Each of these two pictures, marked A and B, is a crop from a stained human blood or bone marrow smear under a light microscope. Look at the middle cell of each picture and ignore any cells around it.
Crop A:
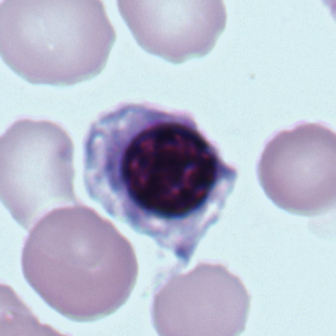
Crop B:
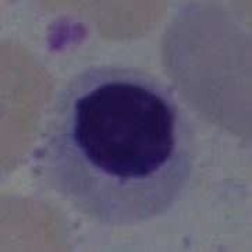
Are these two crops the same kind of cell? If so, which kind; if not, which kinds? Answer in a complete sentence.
Yes, both crops show erythroblasts, and nothing else needs adding.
